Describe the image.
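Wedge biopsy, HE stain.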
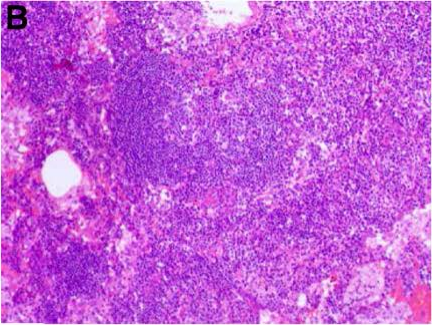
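This is lung tissue that is heavily packed with inflammatory cells, mostly small round cells with dark purple nuclei. Near the centre, these cells form a dense, rounded aggregate, a lymphoid follicle. The normal airy alveolar pattern is largely lost. Only a few small open spaces remain, one of them a clear round space on the left. Around them the walls look thick and crowded with cells. Paler pinkish areas at the edges hold looser cells with more cytoplasm, some of them in the airspaces. A few small red patches of blood are also visible.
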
